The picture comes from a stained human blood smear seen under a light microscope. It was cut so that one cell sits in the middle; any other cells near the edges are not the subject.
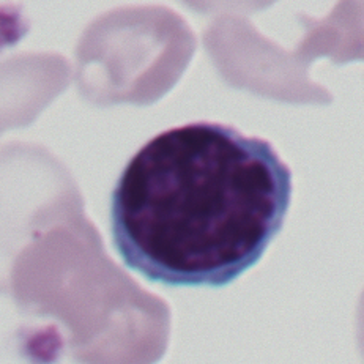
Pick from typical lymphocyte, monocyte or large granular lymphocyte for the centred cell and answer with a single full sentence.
In the centre of this crop there is a typical lymphocyte.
